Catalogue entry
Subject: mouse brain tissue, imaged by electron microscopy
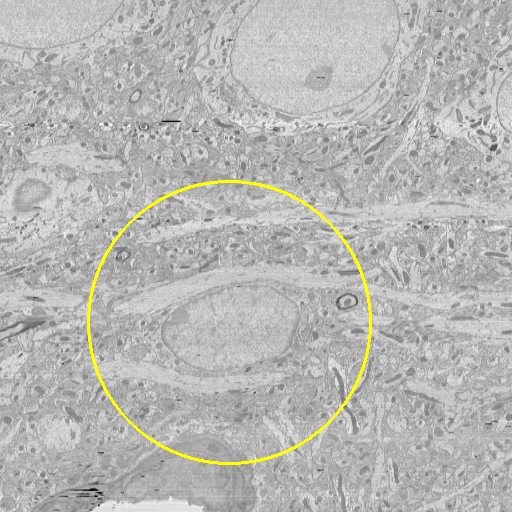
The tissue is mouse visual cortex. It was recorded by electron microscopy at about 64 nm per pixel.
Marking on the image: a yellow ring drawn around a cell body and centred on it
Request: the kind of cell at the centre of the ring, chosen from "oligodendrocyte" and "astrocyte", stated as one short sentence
The ring has an astrocyte at its centre.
